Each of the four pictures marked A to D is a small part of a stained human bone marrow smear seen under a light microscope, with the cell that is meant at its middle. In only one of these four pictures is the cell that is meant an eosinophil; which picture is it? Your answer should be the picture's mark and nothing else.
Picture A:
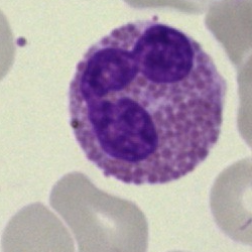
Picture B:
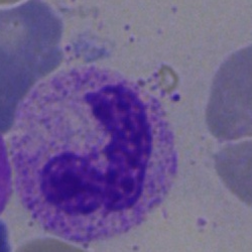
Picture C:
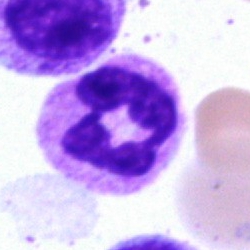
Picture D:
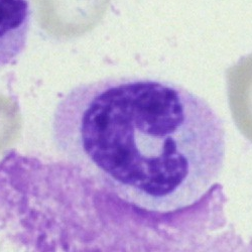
A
